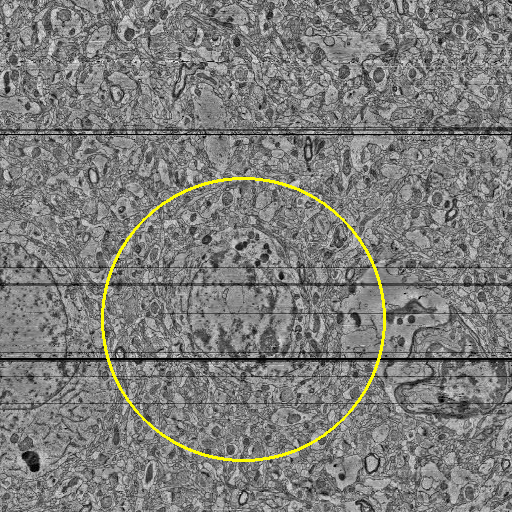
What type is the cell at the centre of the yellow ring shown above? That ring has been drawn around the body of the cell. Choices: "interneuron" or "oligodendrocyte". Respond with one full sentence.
My answer is that an interneuron lies at the centre of the yellow ring above.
